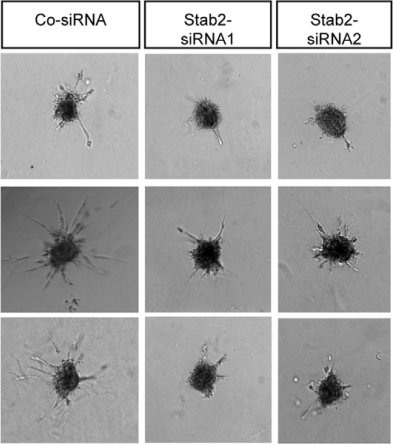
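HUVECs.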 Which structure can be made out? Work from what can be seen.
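Each image shows a compact, dark, roughly round cluster of cells at its centre. Slender cellular extensions radiate outward from the clusters into the surrounding clear gel.
Answer: spheroids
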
